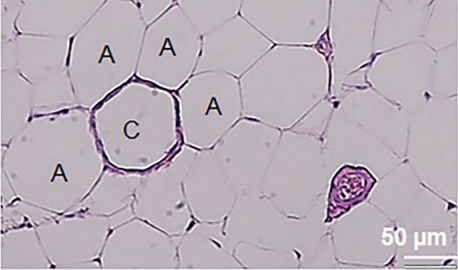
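The field is filled with large polygonal cells whose interiors look clear and empty, each bounded only by a thin pink-purple rim, packed edge to edge in a meshwork; this is white adipose tissue made of adipocytes. A small vessel-like profile with a purple-stained wall appears at the right.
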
